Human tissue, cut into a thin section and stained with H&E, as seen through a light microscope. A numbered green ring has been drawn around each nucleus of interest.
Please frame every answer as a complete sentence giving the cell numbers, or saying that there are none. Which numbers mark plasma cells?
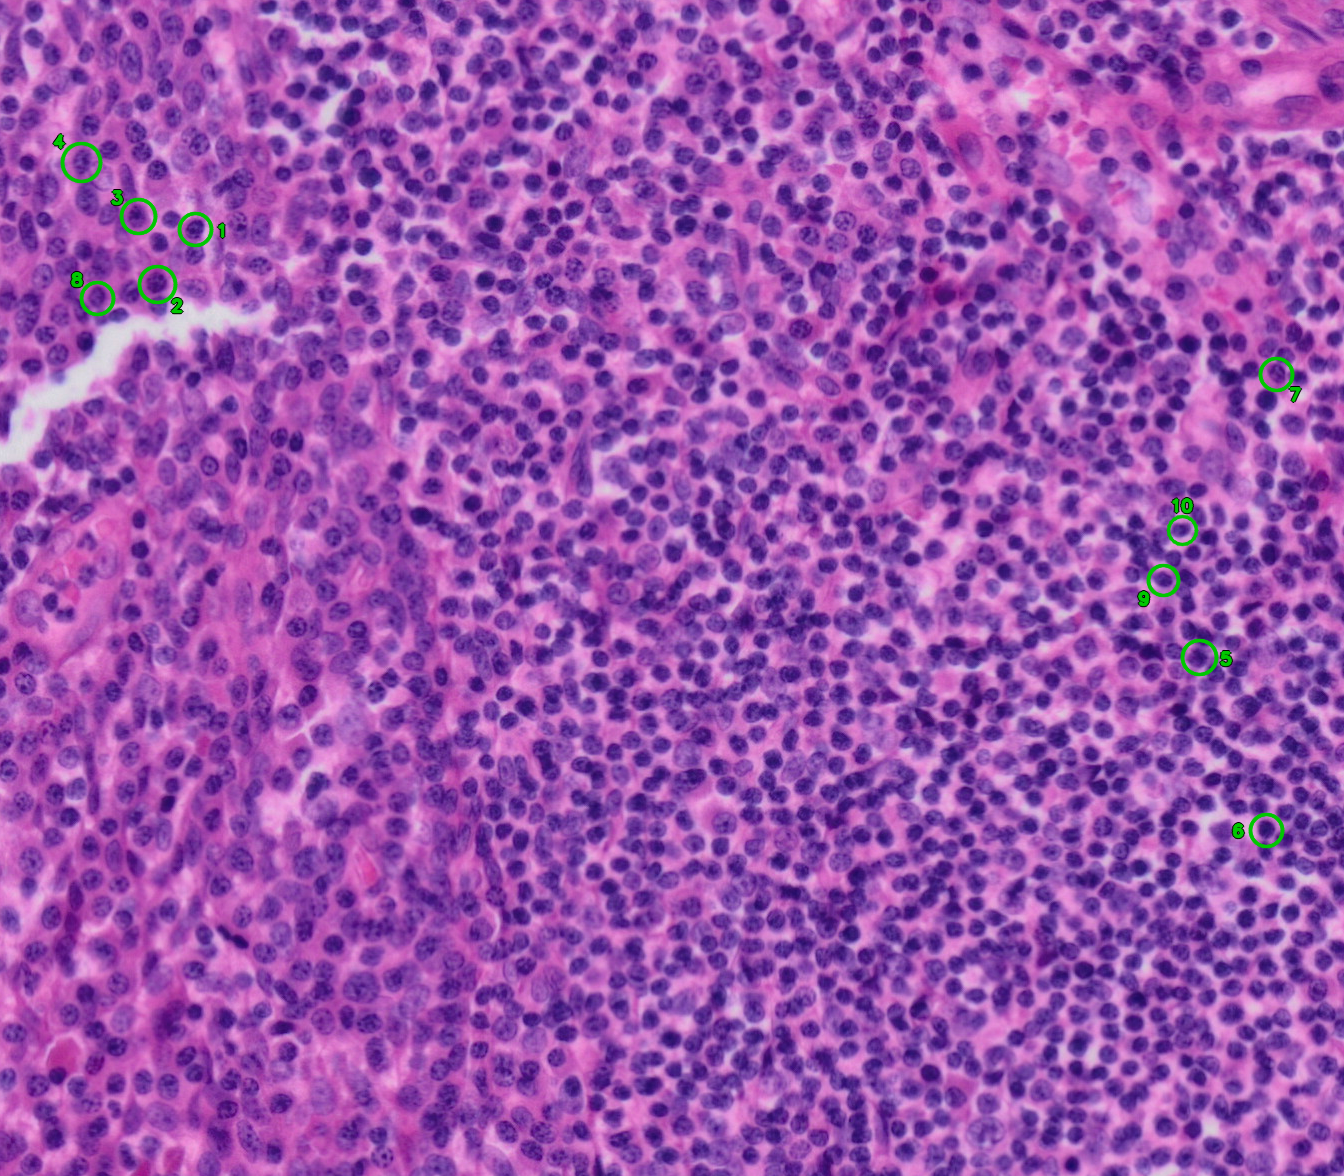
Cells 1, 2, 3, 4, 7 and 8 share one type; they are plasma cells.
